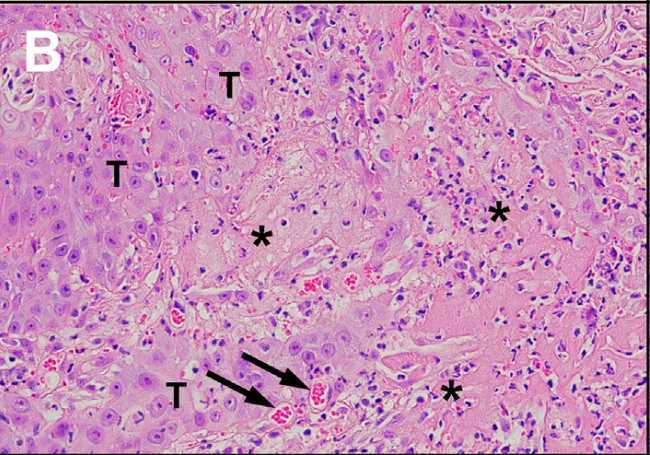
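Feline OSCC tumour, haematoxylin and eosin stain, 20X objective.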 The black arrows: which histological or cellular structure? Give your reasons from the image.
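The arrows point to small round lumens packed with red blood cells. They lie at the edge of a sheet of large cells. So: Small blood vessels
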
